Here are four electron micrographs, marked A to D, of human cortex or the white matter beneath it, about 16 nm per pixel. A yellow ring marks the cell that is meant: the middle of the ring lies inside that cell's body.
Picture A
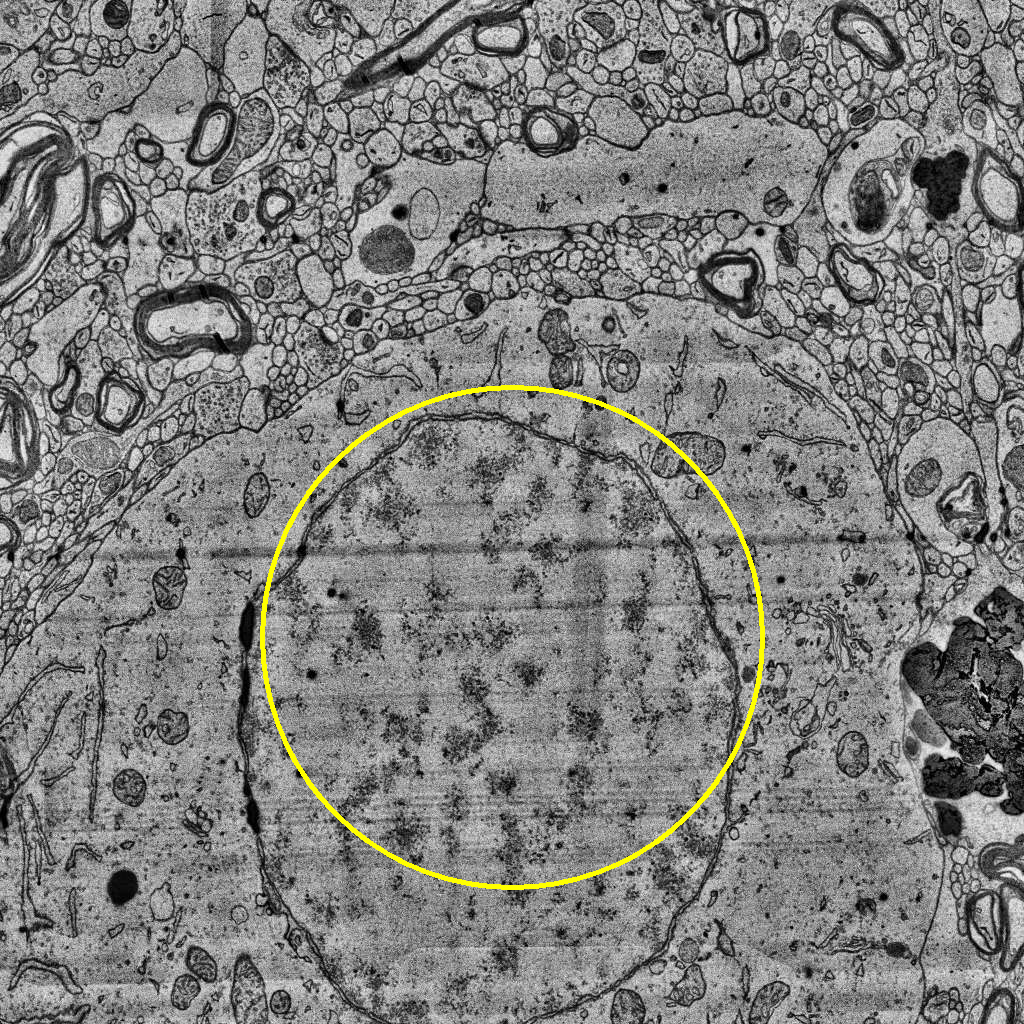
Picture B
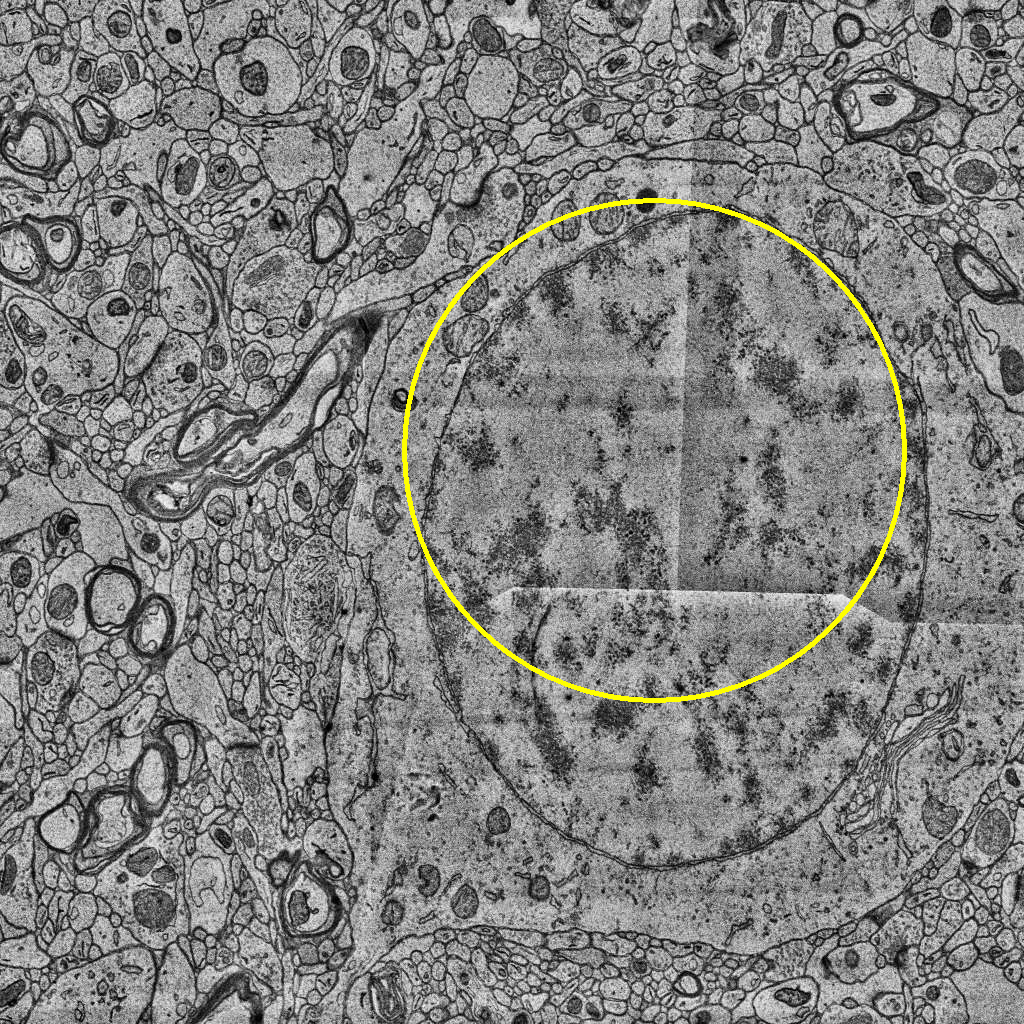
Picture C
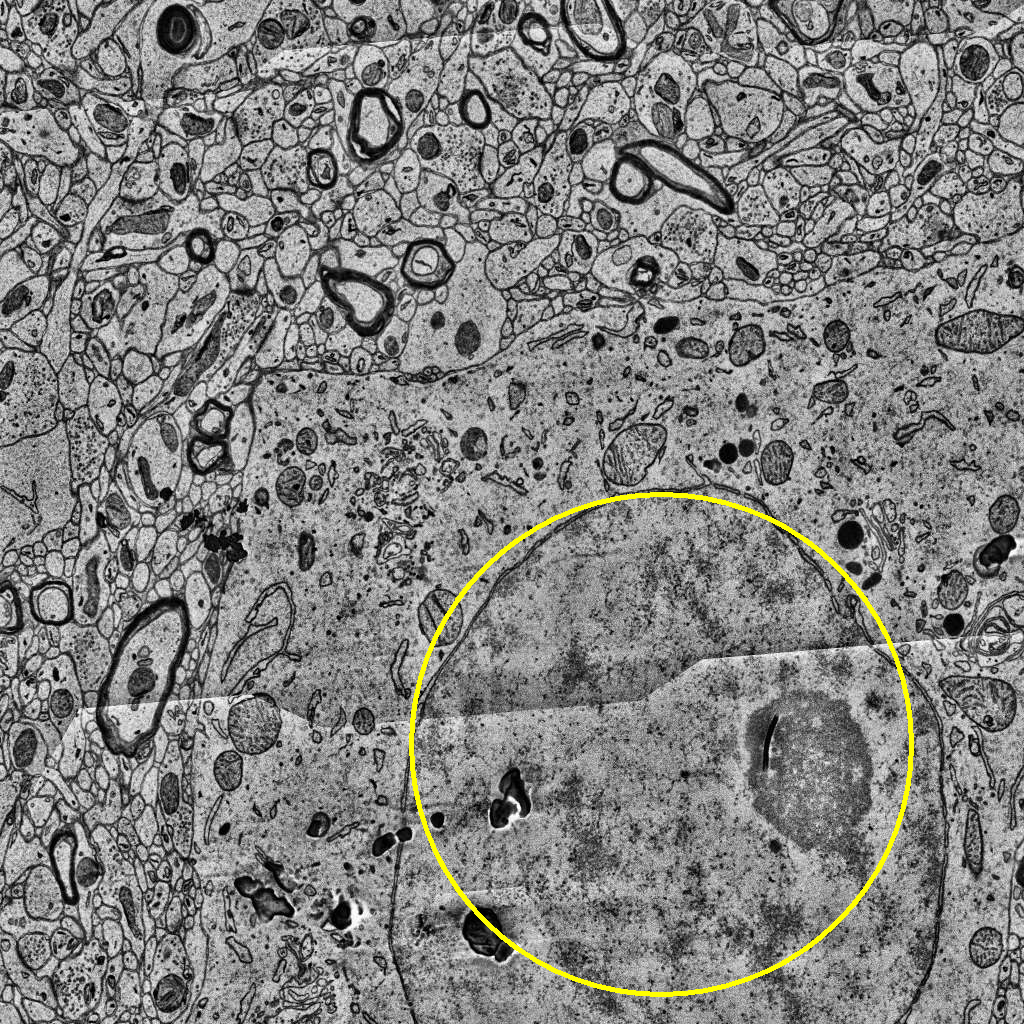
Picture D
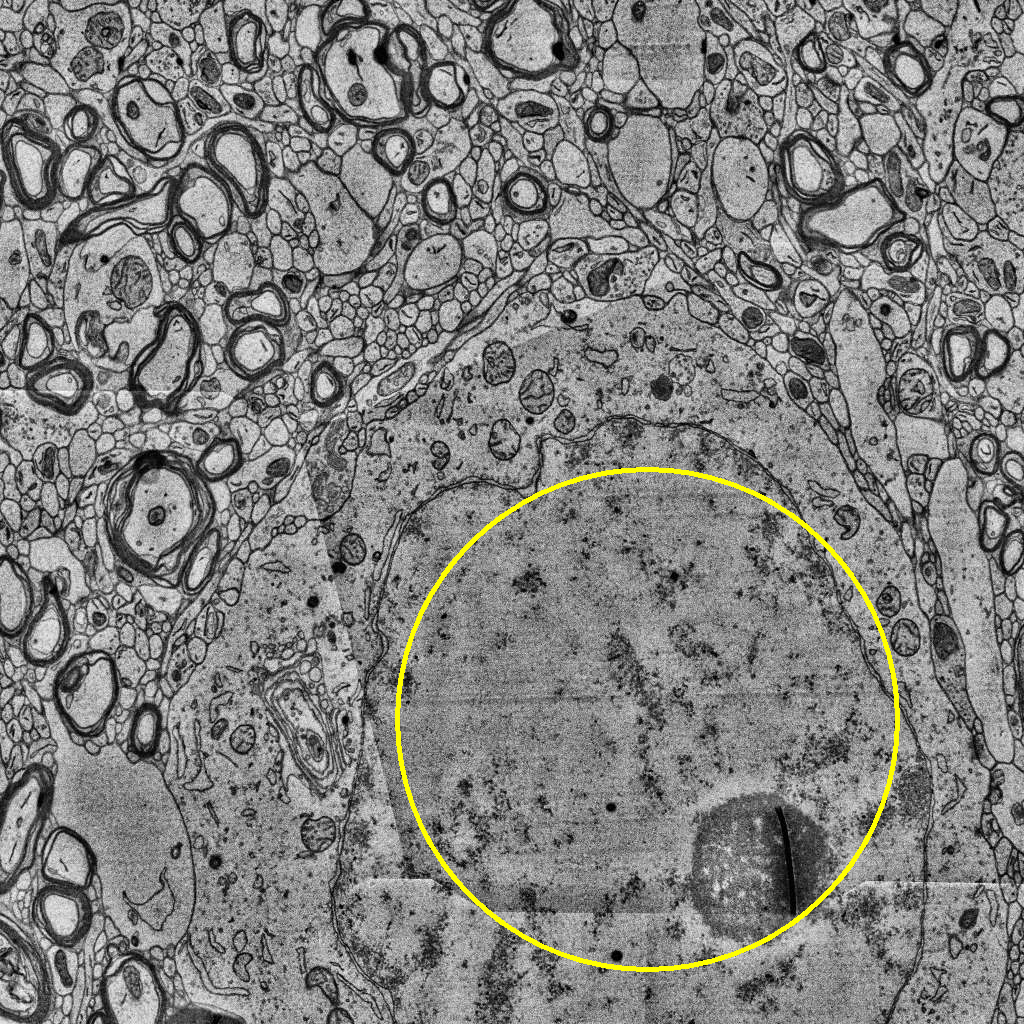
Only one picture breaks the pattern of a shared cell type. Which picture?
The others show pyramidal neurons, but picture D shows an interneuron.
